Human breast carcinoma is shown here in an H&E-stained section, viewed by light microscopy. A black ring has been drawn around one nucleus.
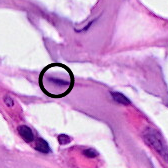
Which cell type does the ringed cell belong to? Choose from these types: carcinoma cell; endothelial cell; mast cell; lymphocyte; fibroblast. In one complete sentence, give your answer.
Cytologically, the ringed cell is to be regarded as a fibroblast.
